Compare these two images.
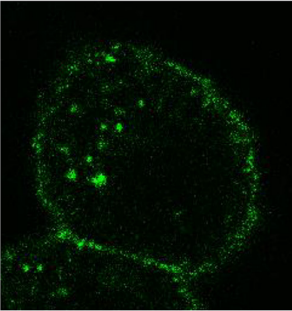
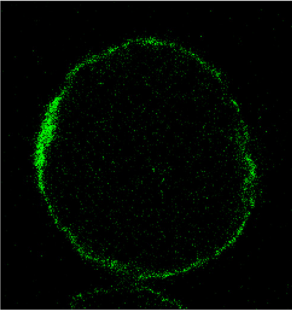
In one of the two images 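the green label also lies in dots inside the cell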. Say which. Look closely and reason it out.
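The first image. First image: bright green dots are scattered in the cytoplasm besides the rim. Second image: green is confined to the rim of the cell.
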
